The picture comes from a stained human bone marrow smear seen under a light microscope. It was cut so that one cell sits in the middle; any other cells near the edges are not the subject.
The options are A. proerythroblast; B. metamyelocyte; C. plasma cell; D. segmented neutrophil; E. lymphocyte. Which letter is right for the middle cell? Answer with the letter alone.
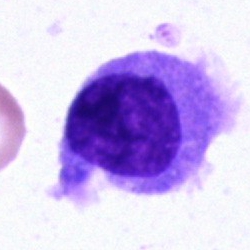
C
